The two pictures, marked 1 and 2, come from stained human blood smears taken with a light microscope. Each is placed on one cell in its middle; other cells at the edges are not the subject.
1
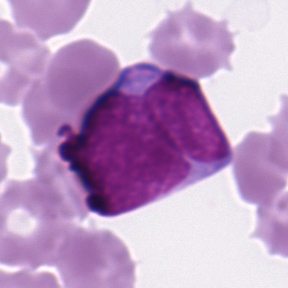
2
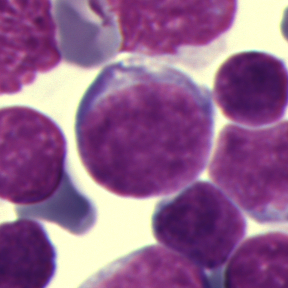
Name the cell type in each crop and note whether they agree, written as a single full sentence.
Yes, both crops show myeloblasts, the one and the other.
